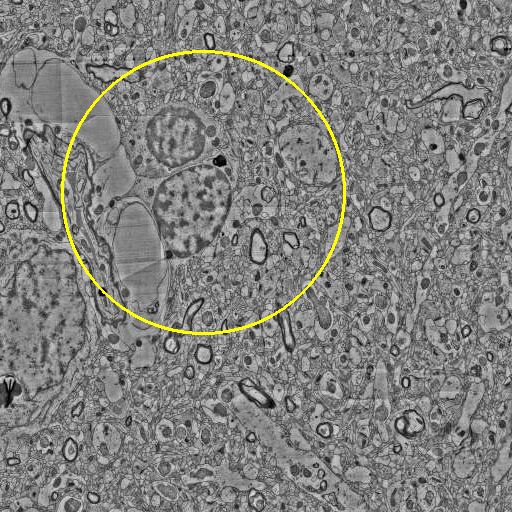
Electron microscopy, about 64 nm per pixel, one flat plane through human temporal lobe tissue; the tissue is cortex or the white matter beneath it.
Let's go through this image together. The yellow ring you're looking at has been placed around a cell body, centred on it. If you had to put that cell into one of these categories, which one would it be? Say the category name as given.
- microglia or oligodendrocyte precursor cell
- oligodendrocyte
microglia or oligodendrocyte precursor cell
